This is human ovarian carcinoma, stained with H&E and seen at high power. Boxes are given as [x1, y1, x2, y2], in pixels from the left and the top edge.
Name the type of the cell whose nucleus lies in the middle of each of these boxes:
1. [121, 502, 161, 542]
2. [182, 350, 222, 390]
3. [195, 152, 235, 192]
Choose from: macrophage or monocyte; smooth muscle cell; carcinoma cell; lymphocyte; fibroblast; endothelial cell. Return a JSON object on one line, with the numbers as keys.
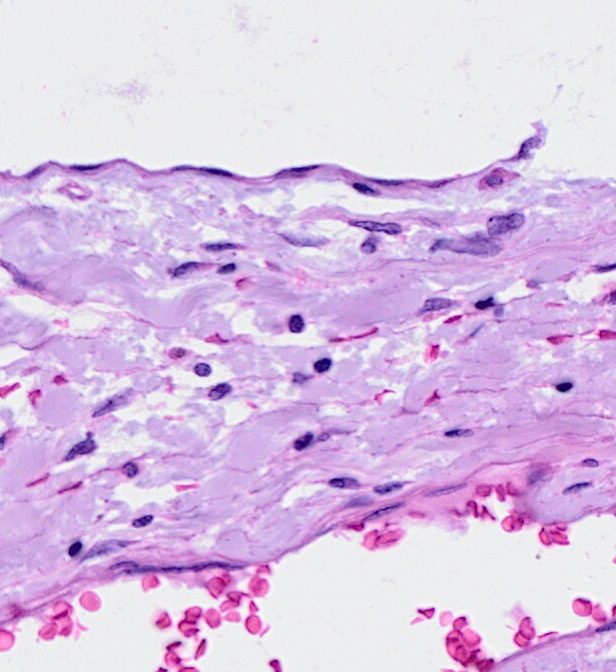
{"1": "lymphocyte", "2": "lymphocyte", "3": "endothelial cell"}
